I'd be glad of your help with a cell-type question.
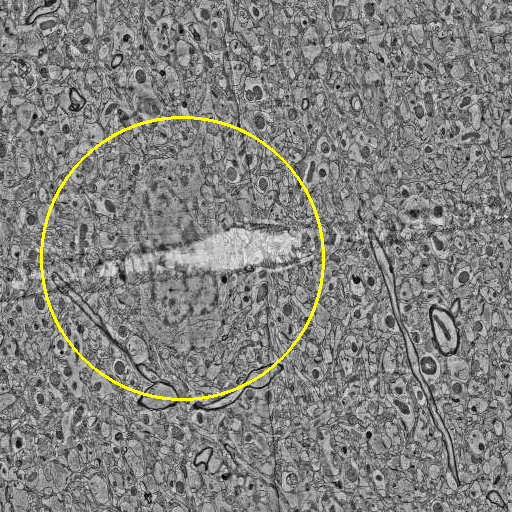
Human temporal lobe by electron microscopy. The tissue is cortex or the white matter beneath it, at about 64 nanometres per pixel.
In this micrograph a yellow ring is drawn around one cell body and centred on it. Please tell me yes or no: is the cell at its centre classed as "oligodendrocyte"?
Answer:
no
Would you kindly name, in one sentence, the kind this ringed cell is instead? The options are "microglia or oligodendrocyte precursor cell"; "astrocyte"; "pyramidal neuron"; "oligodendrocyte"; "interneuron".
The cell enclosed by the ring is an interneuron.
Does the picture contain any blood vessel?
No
